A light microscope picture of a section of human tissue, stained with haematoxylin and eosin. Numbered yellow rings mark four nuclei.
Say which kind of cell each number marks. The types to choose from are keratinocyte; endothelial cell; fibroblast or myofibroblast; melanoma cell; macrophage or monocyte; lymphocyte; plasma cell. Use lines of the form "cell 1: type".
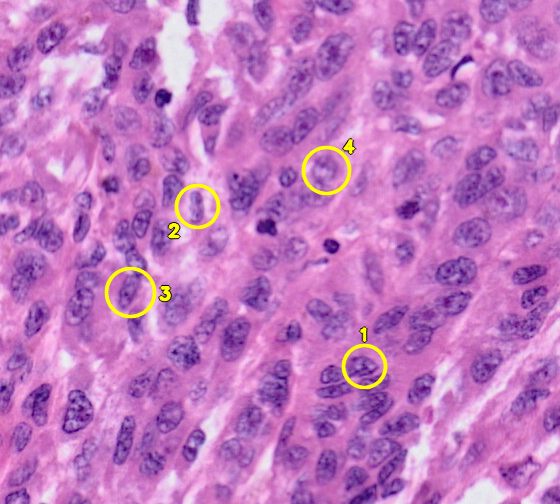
cell 1: melanoma cell
cell 2: macrophage or monocyte
cell 3: melanoma cell
cell 4: melanoma cell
